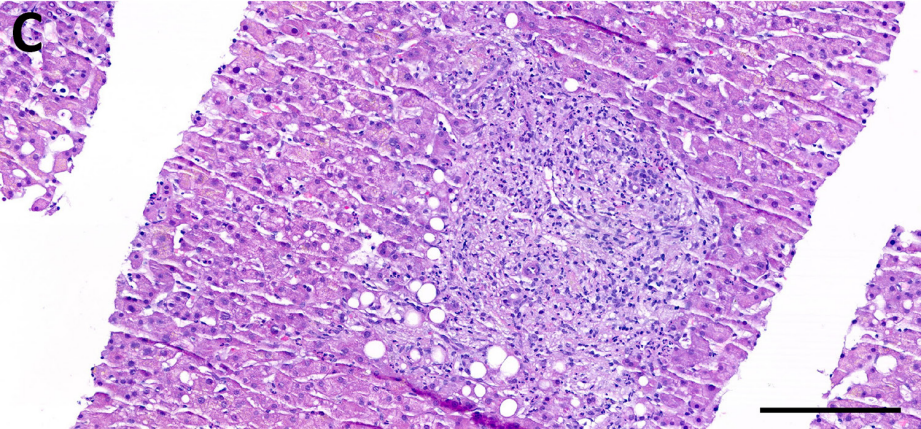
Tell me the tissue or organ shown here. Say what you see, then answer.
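Plates of polygonal pink cells with central round nuclei. A portal area with inflammatory cells in the middle. Scattered clear fat vacuoles within the cells. The answer: Liver.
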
